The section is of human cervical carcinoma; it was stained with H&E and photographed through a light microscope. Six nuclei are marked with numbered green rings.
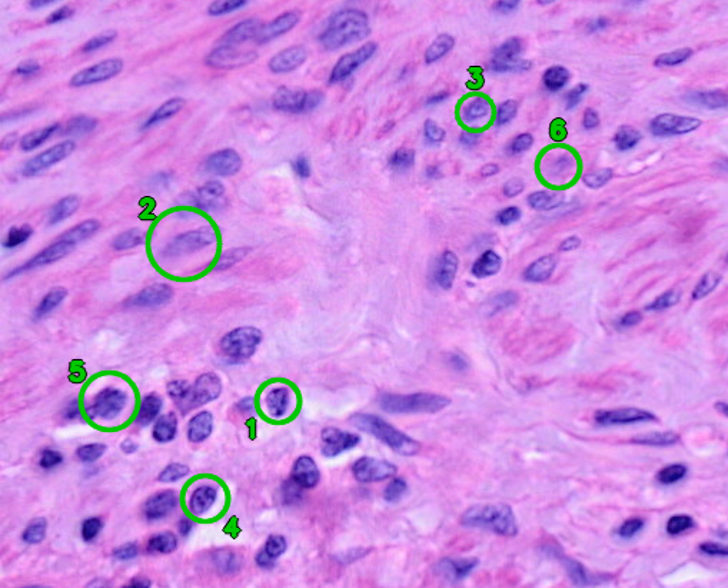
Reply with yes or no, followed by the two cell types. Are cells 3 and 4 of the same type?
No, cell 3 is interpreted as a smooth muscle cell, and cell 4 is interpreted as a lymphocyte.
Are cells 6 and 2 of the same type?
Yes, in this tissue section, cells 6 and 2 are both smooth muscle cells.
